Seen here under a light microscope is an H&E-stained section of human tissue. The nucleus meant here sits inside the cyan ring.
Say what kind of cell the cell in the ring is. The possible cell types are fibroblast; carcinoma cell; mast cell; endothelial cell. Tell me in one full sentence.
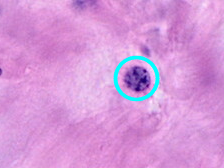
In this tissue sample, the cell in the ring is a mast cell.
